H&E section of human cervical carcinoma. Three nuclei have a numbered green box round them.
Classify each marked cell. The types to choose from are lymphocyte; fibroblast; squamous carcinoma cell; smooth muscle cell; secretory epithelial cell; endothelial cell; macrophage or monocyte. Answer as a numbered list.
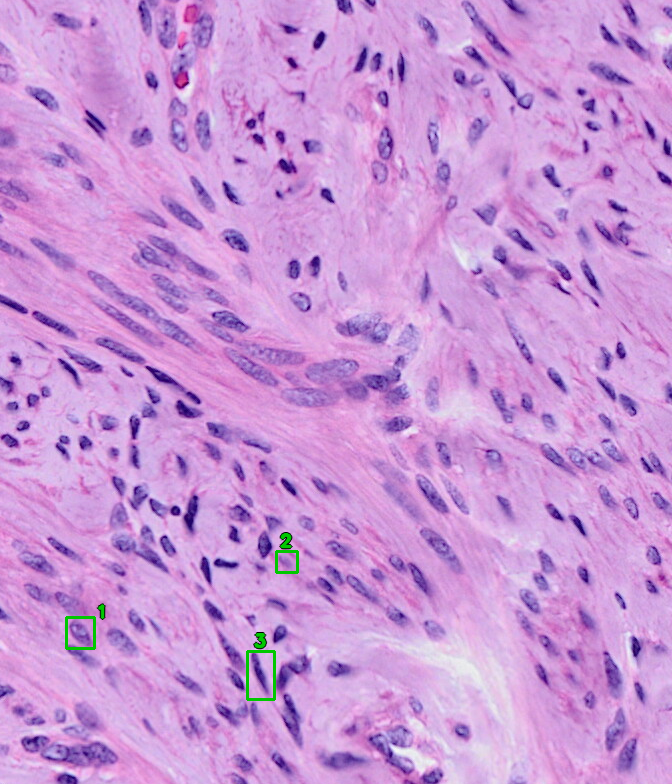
1. smooth muscle cell
2. smooth muscle cell
3. fibroblast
